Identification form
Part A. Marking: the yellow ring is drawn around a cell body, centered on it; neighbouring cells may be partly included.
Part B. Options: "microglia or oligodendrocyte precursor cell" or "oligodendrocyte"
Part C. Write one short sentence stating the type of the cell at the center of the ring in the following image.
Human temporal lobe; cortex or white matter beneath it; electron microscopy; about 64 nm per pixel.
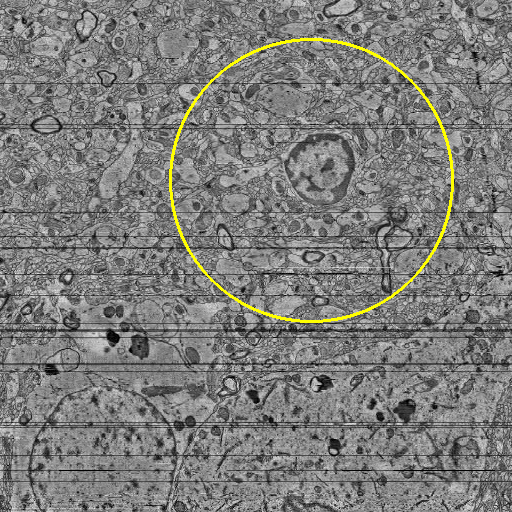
The center of the ring holds a microglial cell or oligodendrocyte precursor cell.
